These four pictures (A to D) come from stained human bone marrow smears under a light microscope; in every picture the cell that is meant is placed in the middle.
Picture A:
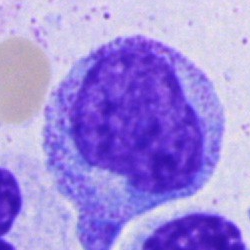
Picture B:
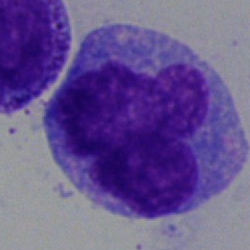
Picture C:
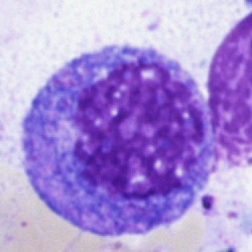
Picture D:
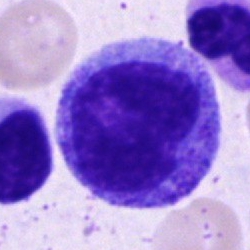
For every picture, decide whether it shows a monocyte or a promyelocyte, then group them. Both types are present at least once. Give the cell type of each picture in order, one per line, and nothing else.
promyelocyte
monocyte
promyelocyte
promyelocyte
